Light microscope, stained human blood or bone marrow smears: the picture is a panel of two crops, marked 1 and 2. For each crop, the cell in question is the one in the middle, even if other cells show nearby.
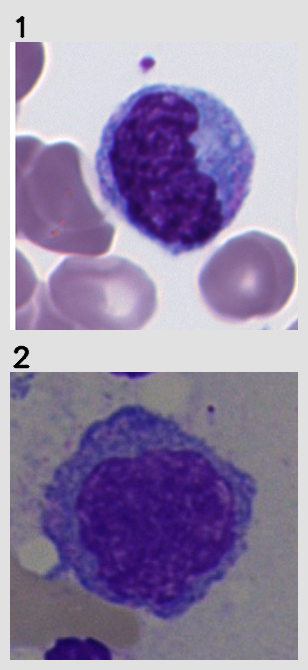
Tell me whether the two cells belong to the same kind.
yes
